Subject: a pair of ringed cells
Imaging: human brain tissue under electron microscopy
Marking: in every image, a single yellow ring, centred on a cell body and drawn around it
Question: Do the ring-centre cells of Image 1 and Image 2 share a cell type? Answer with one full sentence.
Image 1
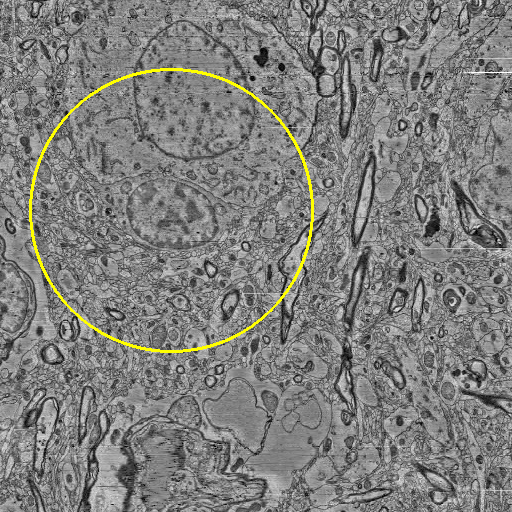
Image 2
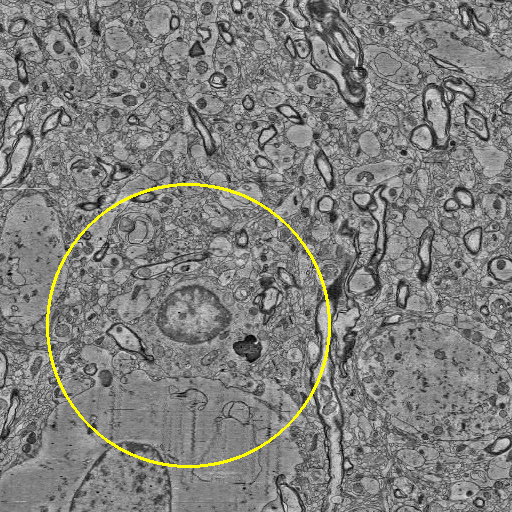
Yes, at each ring's centre in the images sits a cell of one common type.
